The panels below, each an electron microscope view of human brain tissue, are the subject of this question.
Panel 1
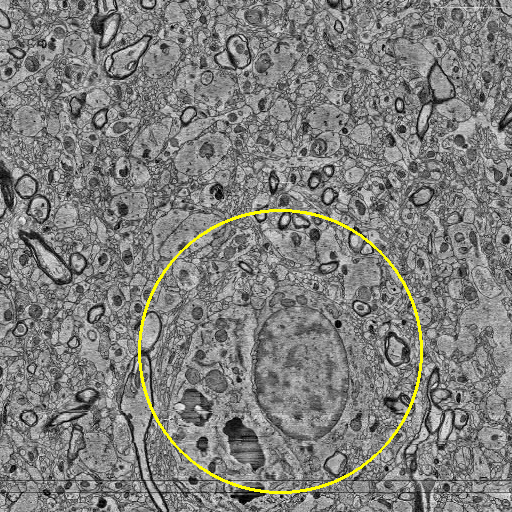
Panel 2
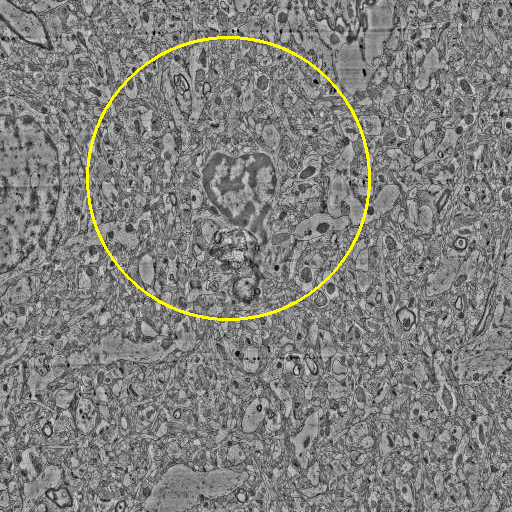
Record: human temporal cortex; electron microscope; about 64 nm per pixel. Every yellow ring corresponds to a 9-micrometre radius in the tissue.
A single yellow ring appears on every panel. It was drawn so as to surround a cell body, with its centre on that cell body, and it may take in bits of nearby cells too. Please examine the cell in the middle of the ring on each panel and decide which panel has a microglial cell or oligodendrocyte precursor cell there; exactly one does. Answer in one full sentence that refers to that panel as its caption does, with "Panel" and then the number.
Panel 2 is where the ring's central cell answers the question.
